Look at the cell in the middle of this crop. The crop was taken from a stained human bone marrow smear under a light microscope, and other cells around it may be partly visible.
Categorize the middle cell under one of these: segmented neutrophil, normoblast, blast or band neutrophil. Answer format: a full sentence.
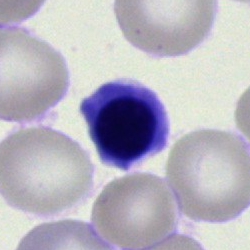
The cell under consideration, at the middle of the crop, is a normoblast.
